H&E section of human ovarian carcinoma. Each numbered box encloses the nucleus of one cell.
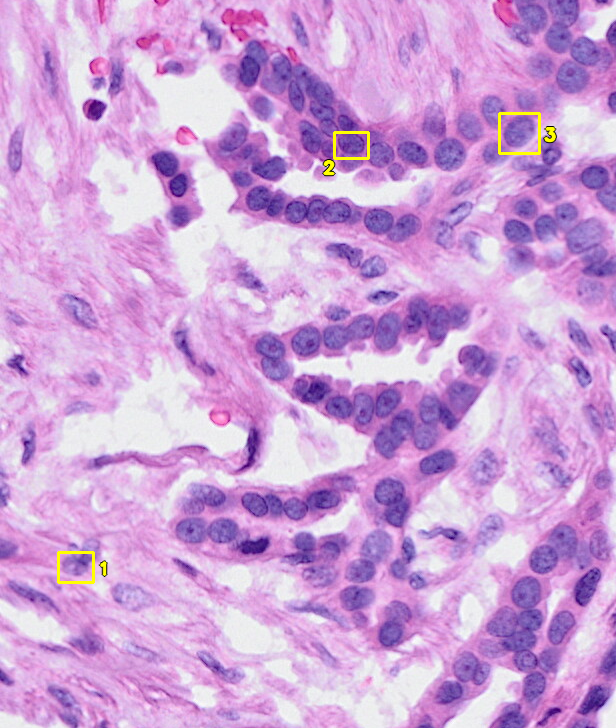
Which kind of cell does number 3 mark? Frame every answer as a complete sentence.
The cell identified by the number 3 is a carcinoma cell.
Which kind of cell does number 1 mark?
Among the marked nuclei, number 1 belongs to a fibroblast.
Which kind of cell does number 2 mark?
Denoted by the label 2 in the section is a carcinoma cell.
